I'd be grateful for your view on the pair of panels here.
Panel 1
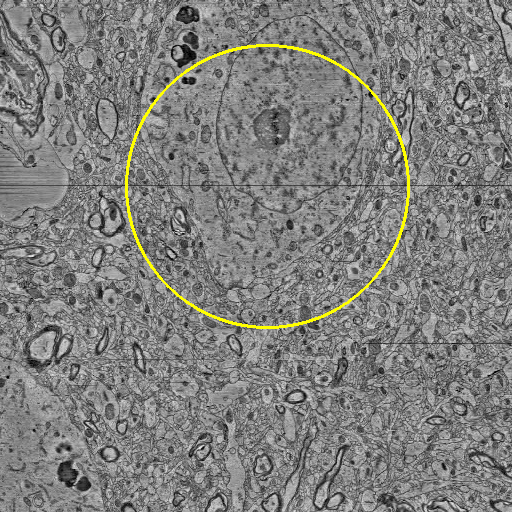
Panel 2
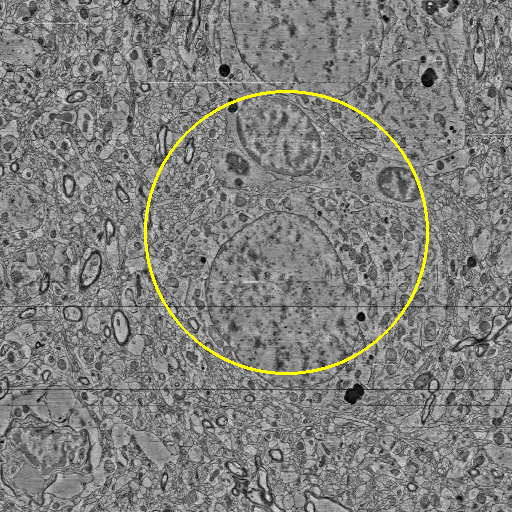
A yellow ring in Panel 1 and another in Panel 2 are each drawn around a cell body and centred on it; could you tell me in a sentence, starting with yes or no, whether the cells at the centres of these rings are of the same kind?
No, they are two kinds of cell.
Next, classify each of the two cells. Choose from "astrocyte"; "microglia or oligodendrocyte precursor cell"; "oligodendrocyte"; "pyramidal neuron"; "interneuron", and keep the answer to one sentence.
In the first picture it is a pyramidal neuron; in the second it is an interneuron.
